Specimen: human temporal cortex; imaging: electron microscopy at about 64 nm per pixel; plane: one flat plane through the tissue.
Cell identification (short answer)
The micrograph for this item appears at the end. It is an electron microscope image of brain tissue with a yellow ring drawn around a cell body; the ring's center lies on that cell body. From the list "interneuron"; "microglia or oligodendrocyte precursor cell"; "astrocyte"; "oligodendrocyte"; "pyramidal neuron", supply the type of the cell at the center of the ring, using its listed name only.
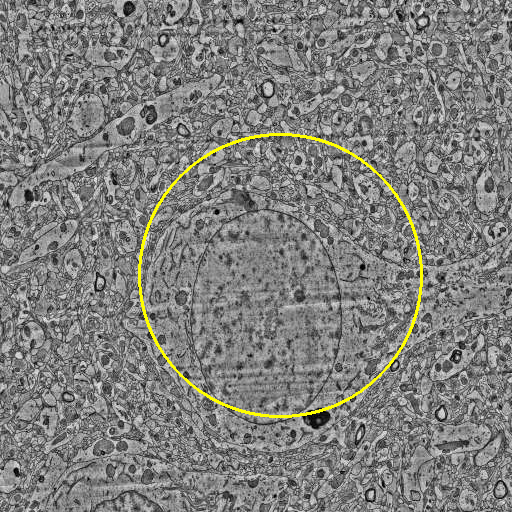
pyramidal neuron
